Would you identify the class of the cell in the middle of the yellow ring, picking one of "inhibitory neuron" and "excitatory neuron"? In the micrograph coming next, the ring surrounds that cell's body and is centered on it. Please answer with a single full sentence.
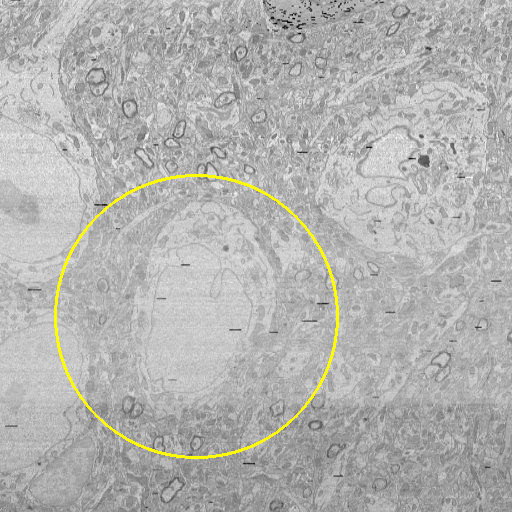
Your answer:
In the micrograph, it is an excitatory neuron whose body lies at the ring's center.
